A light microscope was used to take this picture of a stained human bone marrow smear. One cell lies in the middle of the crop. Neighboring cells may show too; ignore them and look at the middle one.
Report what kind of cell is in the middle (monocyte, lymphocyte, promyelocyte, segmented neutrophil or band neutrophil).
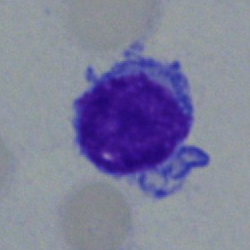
lymphocyte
